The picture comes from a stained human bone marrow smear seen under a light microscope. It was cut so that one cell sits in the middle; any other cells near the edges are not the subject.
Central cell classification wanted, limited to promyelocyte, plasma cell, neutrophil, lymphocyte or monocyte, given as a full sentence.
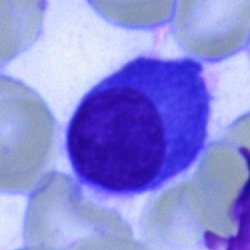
In this crop, the cell at the very middle is a plasma cell.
